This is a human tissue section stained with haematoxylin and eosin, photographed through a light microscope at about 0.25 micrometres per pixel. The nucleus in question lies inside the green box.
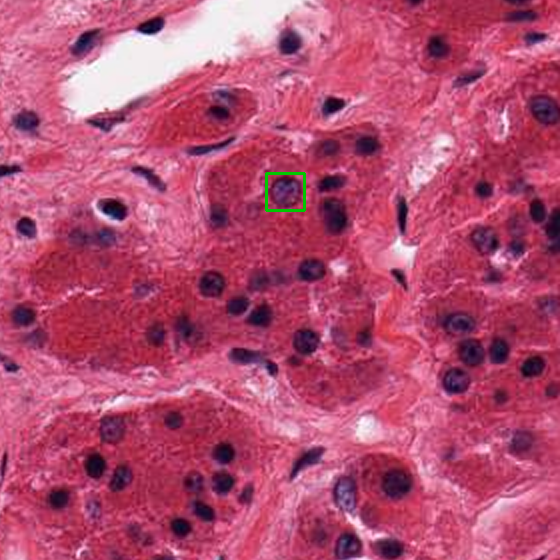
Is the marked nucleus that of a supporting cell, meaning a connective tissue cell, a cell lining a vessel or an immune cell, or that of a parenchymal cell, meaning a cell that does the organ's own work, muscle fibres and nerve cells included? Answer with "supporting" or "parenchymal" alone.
parenchymal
